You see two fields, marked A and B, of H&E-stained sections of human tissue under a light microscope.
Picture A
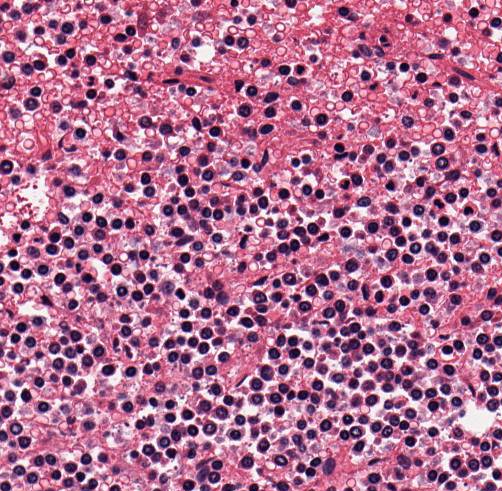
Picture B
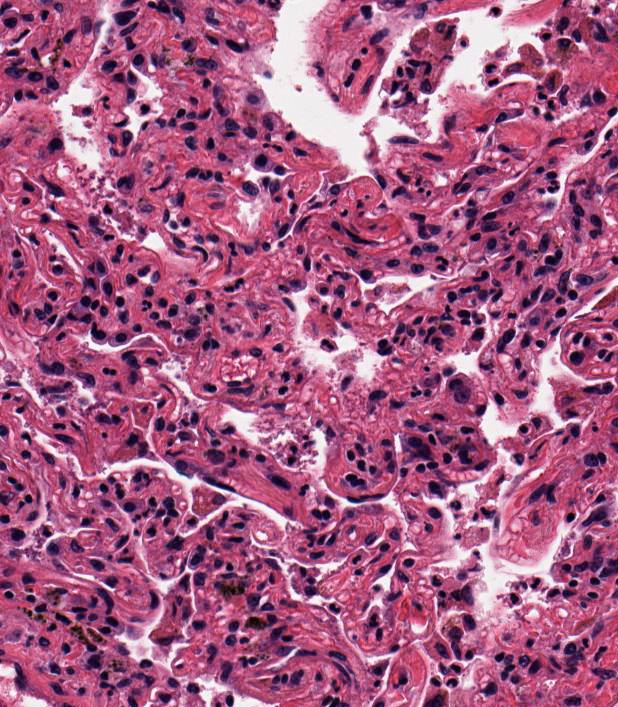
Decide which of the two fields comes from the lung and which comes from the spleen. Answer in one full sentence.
Picture A comes from the spleen and picture B comes from the lung.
